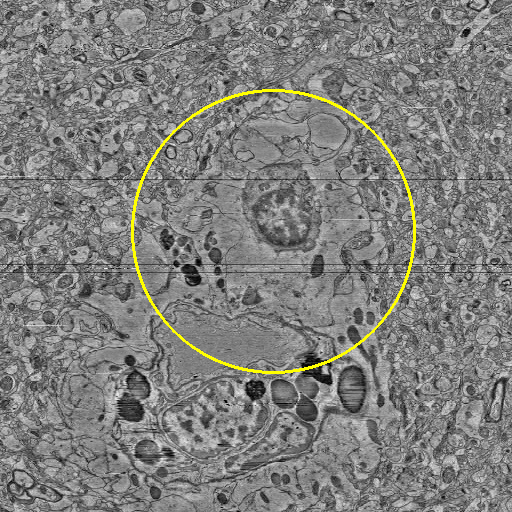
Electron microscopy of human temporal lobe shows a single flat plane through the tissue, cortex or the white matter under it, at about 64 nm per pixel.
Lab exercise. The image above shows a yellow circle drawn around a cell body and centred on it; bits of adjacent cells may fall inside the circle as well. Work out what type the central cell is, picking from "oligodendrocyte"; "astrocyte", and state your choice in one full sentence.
In the image above, the cell at the centre of the yellow circle is an oligodendrocyte.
